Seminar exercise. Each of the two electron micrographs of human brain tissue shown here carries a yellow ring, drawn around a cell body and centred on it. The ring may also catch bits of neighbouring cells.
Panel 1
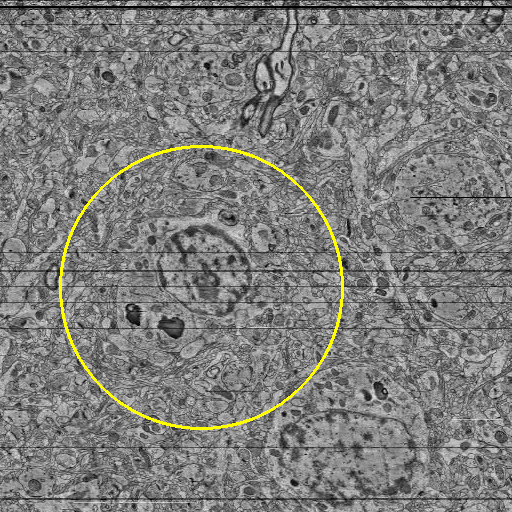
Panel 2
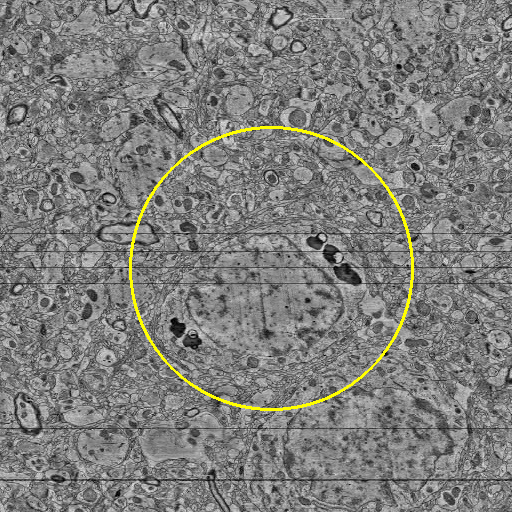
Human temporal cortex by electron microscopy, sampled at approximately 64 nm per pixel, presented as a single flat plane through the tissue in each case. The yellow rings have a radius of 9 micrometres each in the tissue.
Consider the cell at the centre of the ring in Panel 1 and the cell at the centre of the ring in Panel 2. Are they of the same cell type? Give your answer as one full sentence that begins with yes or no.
No, the two cells are of two types.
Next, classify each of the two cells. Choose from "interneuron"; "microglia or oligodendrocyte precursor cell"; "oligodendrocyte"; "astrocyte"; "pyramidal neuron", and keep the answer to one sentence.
In the first picture it is a microglial cell or oligodendrocyte precursor cell; in the second it is an interneuron.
